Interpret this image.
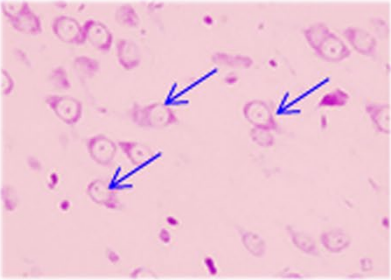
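Brain tissue with intact neurons stained violet on a pale pink background. The neurons have large, round to oval cell bodies with pale violet cytoplasm and a thin darker rim. Some cell bodies give off short processes. Scattered between the neurons are small, densely stained, round or elongated nuclei of smaller cells. The neuropil between cells is homogeneous and pale. Blue arrows point to several of the round neurons with clear nucleoli.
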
